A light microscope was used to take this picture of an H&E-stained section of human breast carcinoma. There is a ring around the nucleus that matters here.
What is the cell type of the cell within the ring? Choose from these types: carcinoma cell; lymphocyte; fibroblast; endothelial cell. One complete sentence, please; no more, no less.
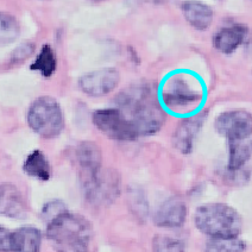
In short, the cell within the ring on this section is an endothelial cell.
